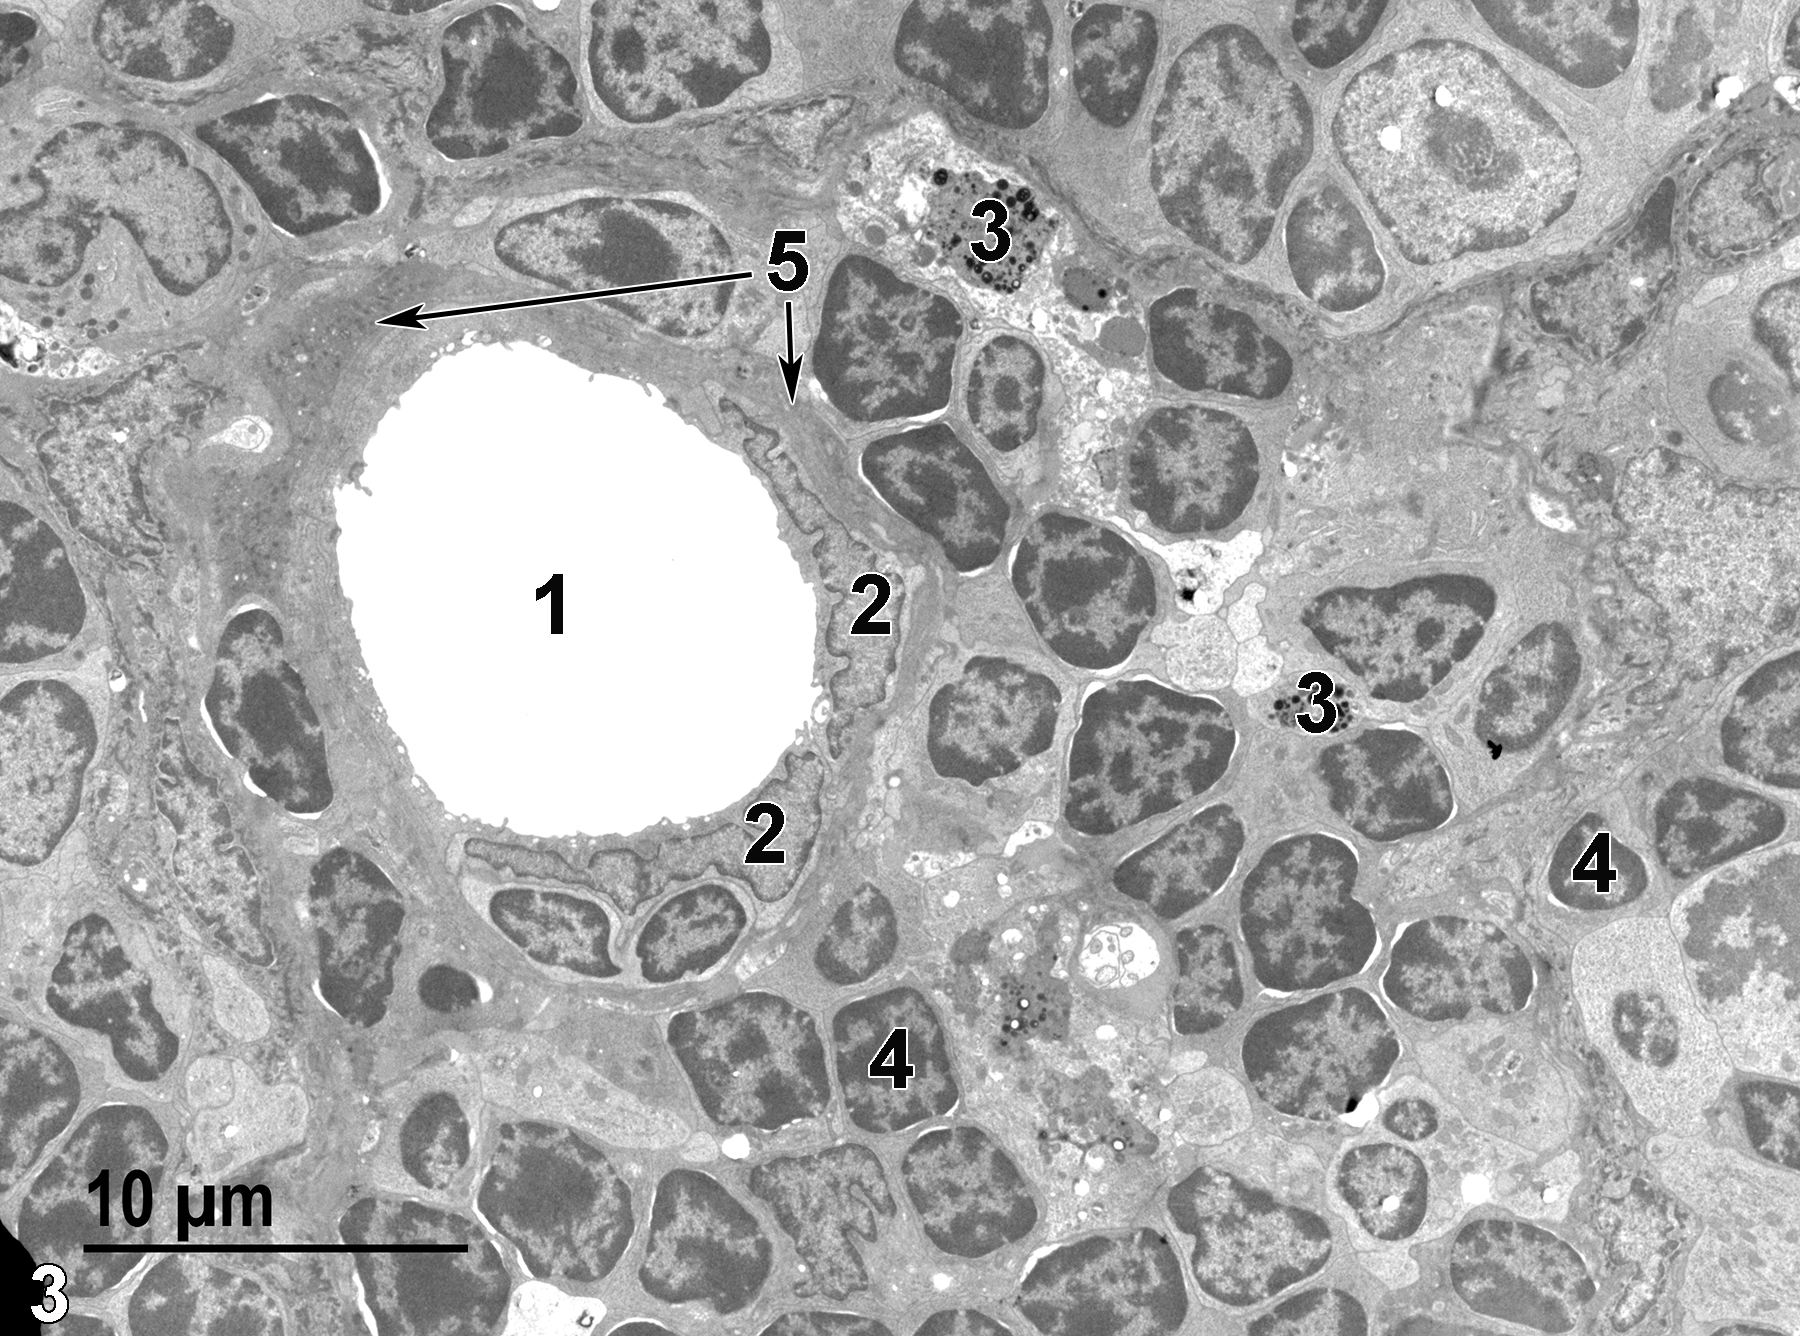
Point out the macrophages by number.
3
